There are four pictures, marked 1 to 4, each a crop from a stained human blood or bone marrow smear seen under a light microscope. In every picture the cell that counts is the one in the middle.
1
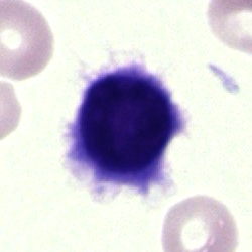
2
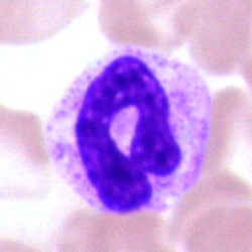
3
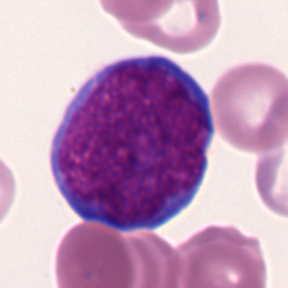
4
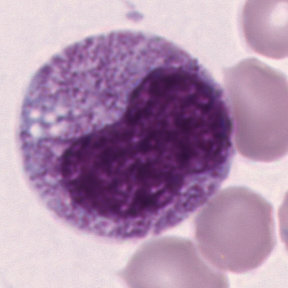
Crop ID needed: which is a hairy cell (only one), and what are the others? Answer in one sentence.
On inspection, crop 1 shows a hairy cell, while crop 2 is a band neutrophil, crop 3 is a blast and crop 4 is a myelocyte.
